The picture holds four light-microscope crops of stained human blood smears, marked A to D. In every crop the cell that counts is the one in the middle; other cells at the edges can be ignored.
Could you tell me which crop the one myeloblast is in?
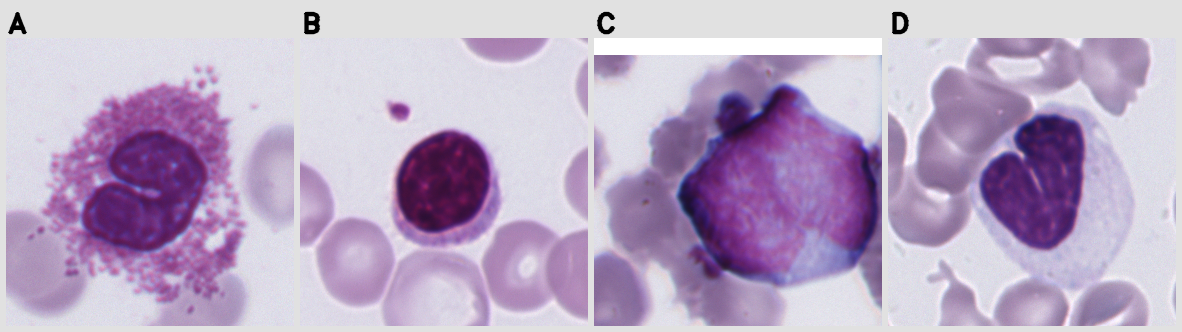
C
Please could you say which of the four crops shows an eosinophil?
A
